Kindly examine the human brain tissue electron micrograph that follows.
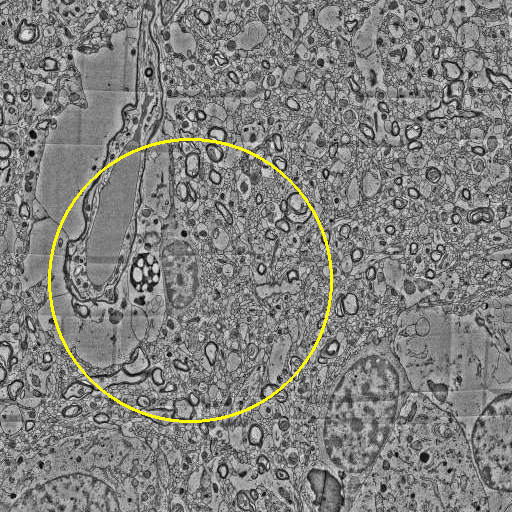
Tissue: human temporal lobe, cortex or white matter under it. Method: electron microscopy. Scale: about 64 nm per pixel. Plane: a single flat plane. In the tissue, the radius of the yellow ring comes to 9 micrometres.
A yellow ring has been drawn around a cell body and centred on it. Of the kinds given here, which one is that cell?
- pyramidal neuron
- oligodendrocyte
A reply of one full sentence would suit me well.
The micrograph's ringed cell, the one at the ring's centre, is an oligodendrocyte.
